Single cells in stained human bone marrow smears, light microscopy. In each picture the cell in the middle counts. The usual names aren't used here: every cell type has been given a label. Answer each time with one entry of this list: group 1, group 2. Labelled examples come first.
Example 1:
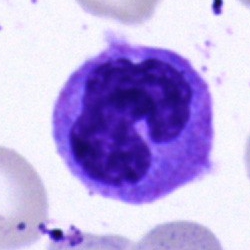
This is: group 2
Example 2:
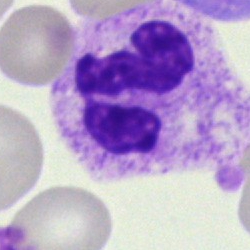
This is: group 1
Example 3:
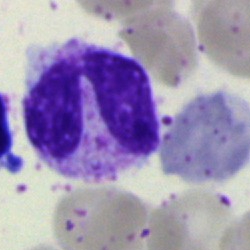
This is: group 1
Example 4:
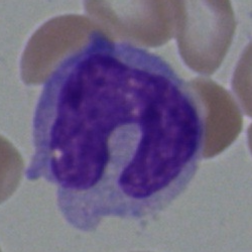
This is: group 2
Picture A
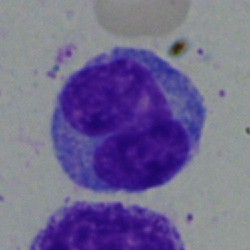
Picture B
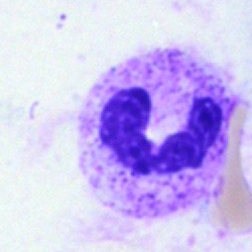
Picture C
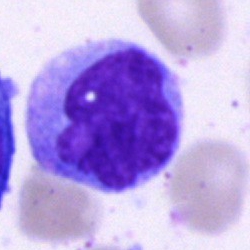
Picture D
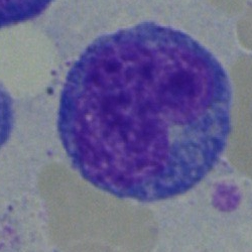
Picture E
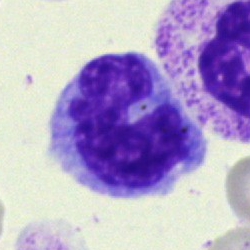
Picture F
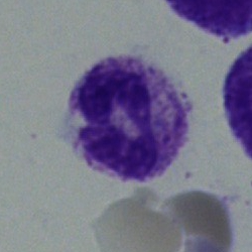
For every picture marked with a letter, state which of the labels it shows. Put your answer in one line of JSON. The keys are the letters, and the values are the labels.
{"A": "group 2", "B": "group 1", "C": "group 2", "D": "group 2", "E": "group 2", "F": "group 1"}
